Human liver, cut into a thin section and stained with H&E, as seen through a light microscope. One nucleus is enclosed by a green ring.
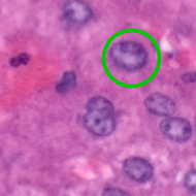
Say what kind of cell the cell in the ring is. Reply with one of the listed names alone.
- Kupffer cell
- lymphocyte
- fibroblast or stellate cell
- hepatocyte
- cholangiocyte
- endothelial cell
hepatocyte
